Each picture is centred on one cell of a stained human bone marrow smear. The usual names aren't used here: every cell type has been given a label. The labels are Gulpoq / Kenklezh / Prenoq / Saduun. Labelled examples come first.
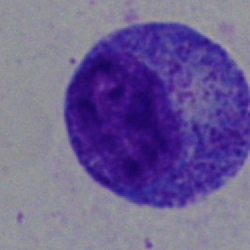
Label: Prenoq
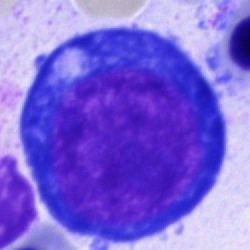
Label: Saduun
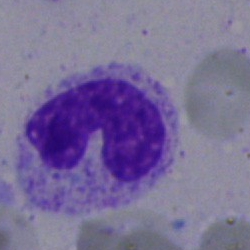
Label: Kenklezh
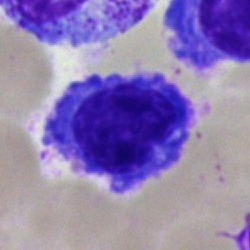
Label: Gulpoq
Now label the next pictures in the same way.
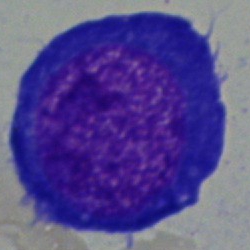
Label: Saduun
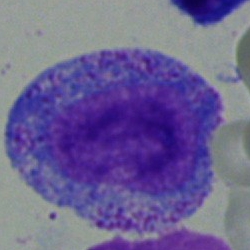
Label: Prenoq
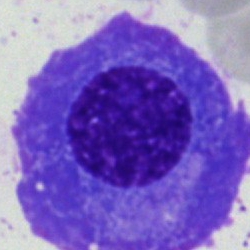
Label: Gulpoq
